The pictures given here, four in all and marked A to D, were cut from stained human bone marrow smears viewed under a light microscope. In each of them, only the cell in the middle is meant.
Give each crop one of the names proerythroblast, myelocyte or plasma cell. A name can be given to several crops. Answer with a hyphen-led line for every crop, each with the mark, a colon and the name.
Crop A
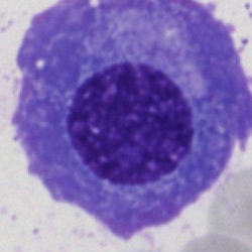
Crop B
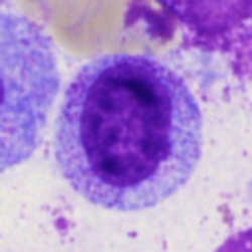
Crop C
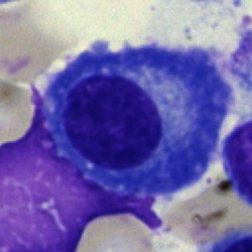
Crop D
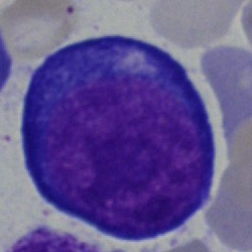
- A: plasma cell
- B: myelocyte
- C: plasma cell
- D: proerythroblast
